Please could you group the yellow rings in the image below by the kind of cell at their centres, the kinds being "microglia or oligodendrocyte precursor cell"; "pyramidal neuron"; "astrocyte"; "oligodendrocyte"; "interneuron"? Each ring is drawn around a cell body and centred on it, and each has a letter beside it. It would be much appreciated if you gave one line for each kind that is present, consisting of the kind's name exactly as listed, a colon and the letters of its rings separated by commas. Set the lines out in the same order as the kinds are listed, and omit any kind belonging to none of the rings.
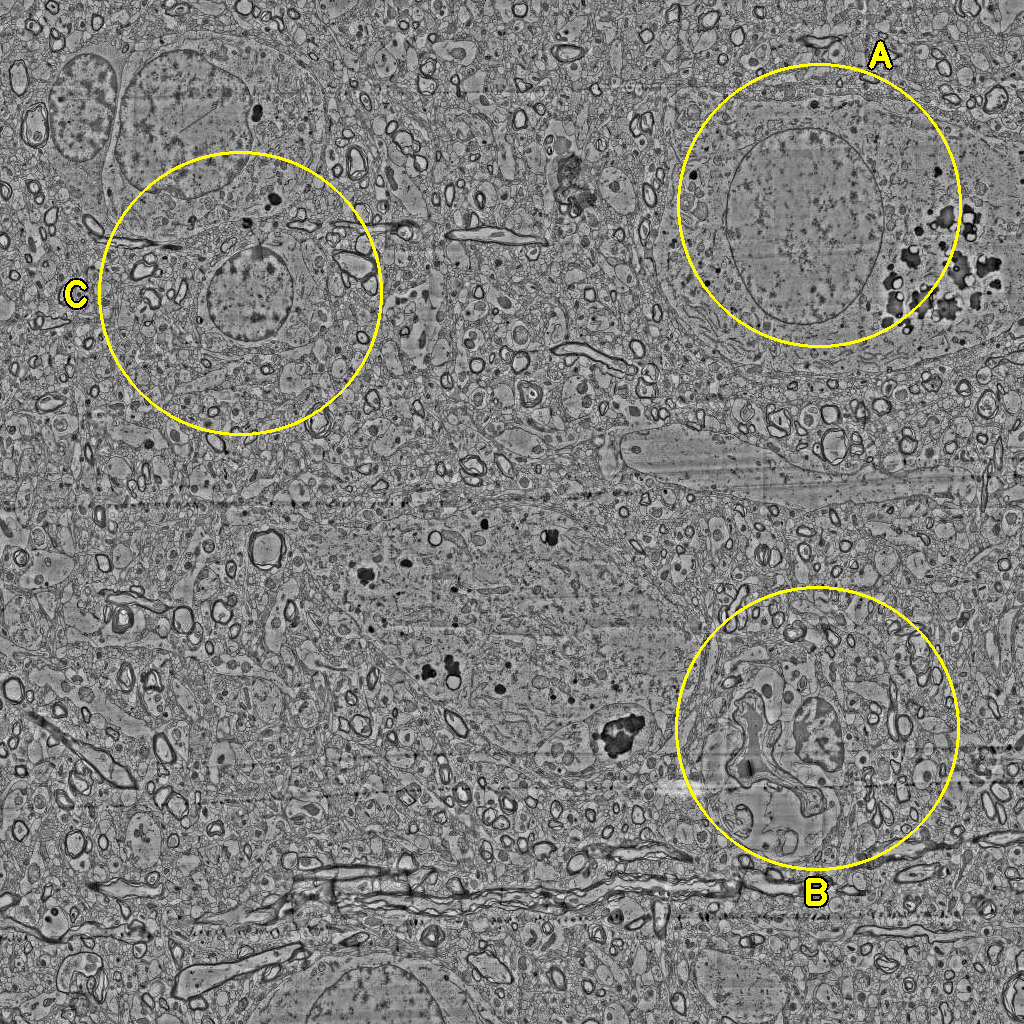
microglia or oligodendrocyte precursor cell: B, C
pyramidal neuron: A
